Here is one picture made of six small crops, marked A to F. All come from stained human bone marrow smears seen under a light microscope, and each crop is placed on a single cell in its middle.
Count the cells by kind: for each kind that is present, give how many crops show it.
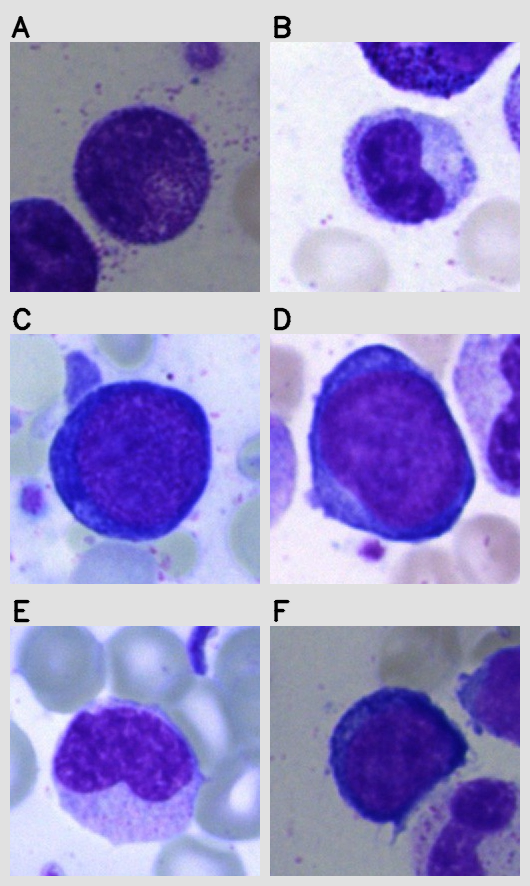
metamyelocyte: 3
proerythroblast: 3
